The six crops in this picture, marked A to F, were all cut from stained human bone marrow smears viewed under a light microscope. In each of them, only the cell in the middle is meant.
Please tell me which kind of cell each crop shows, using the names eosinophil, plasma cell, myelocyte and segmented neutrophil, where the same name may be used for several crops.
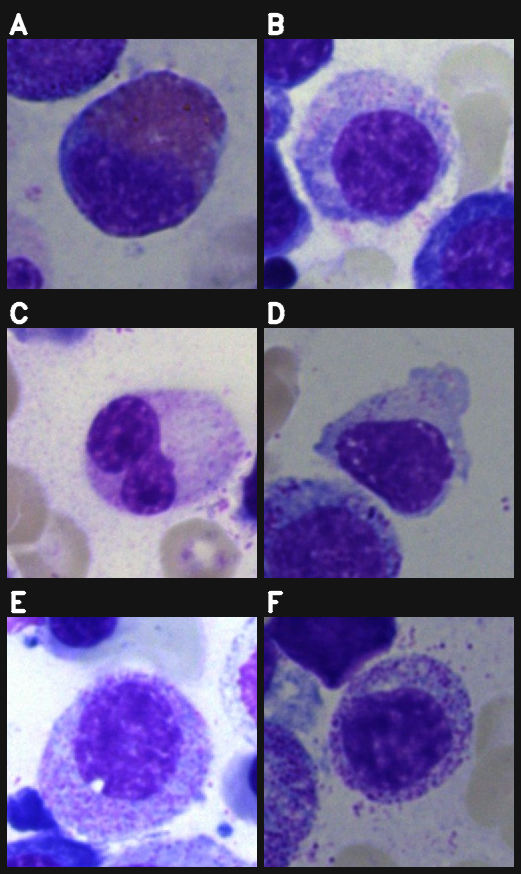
A: eosinophil
B: myelocyte
C: segmented neutrophil
D: myelocyte
E: myelocyte
F: myelocyte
